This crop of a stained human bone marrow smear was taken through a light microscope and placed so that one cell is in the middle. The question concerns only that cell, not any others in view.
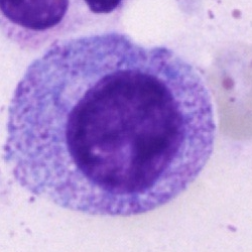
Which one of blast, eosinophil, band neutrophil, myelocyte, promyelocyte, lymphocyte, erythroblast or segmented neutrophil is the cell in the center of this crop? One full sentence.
Framed in the middle of the crop is a promyelocyte.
